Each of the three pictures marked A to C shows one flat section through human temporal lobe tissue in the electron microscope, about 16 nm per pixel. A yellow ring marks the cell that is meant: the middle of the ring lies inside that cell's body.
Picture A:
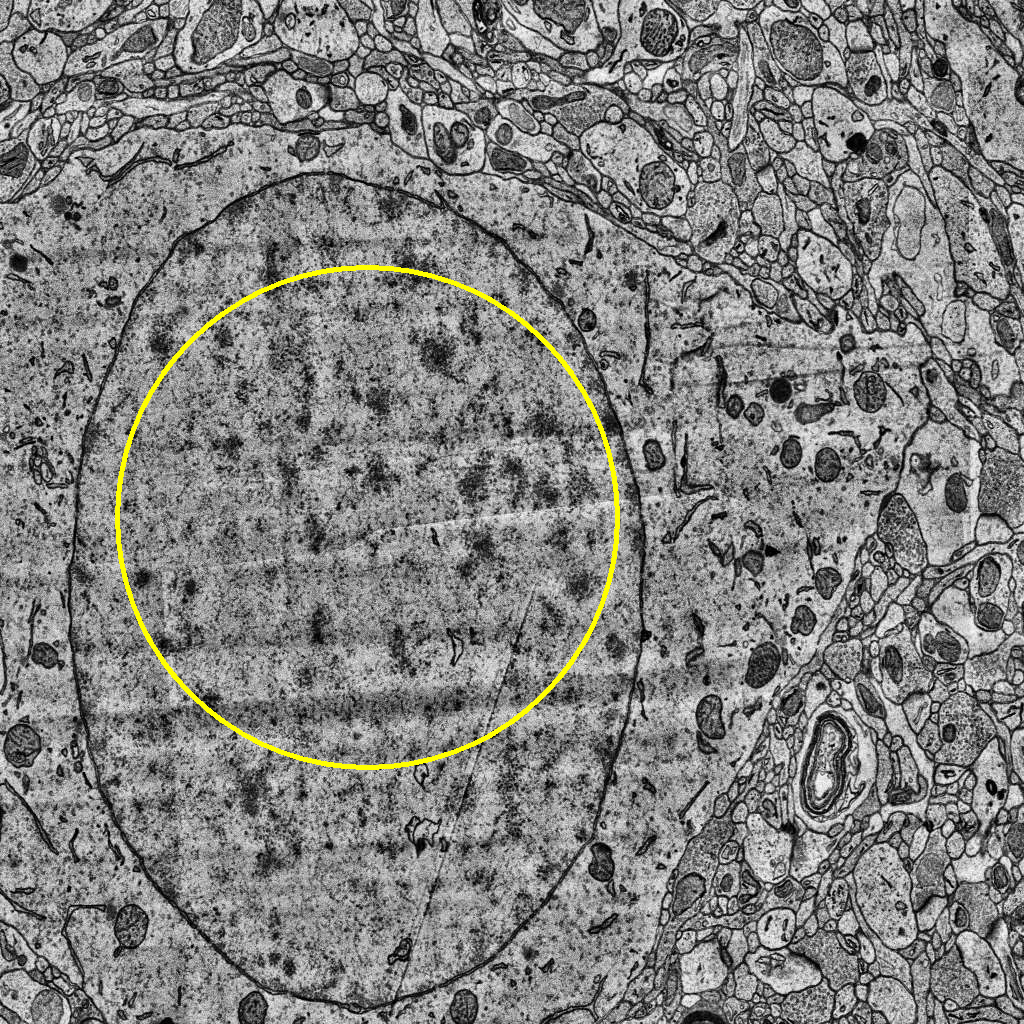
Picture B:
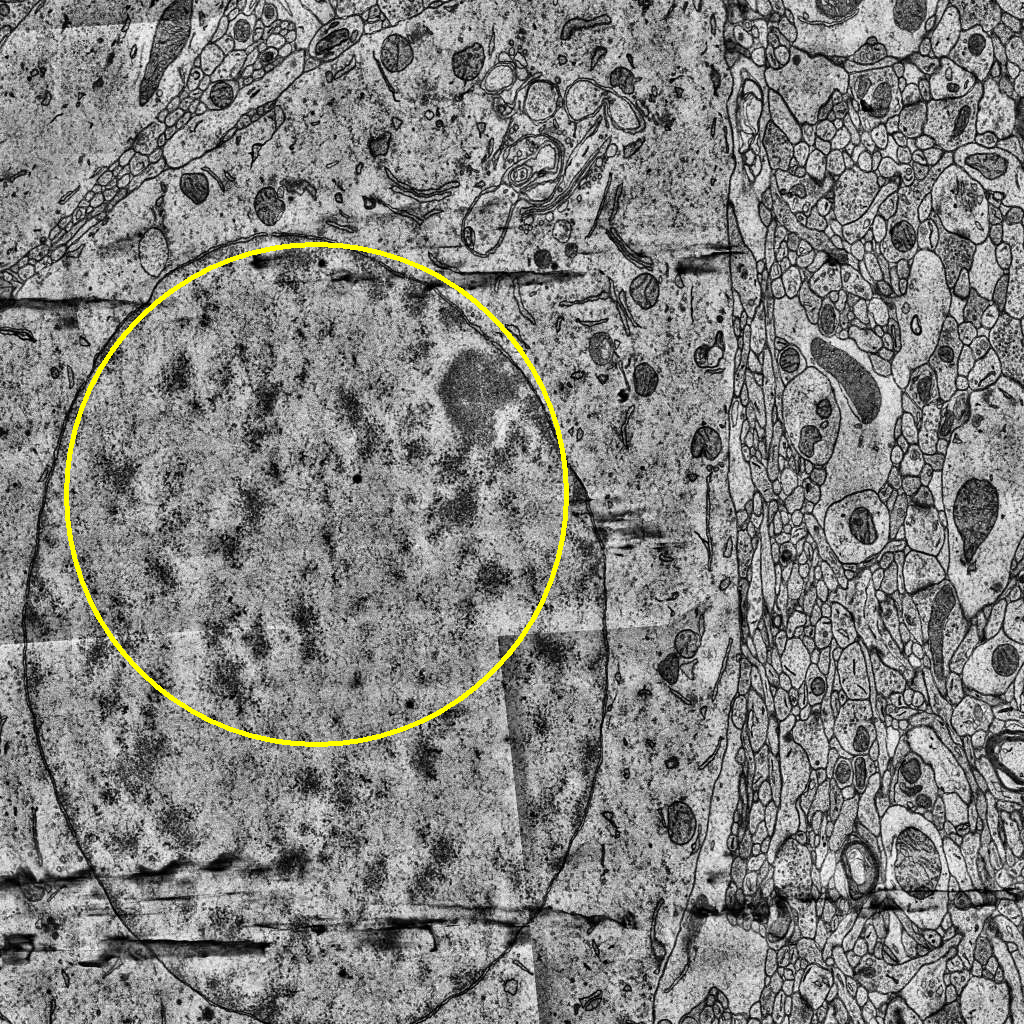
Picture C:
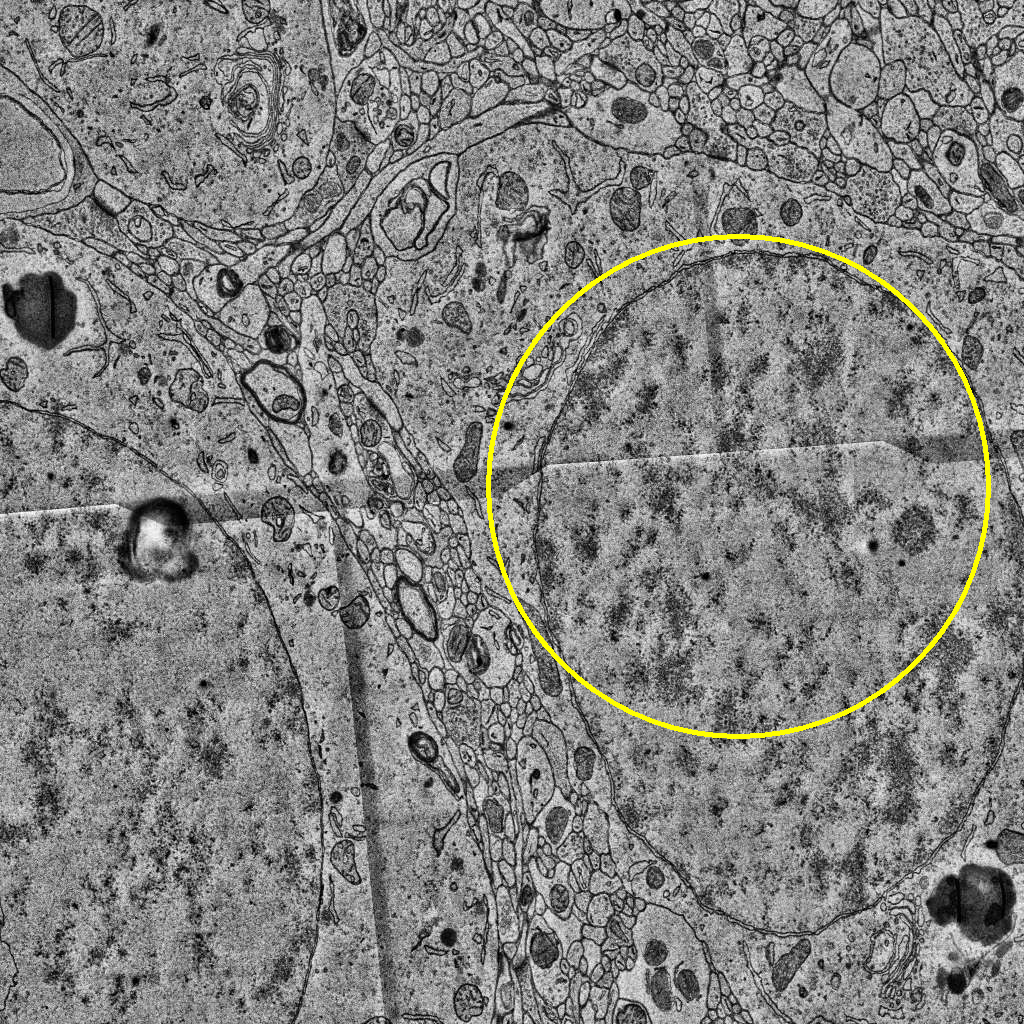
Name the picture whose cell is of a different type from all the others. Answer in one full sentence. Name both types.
Picture C is the odd one out: it shows an interneuron, while the others show pyramidal neurons.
